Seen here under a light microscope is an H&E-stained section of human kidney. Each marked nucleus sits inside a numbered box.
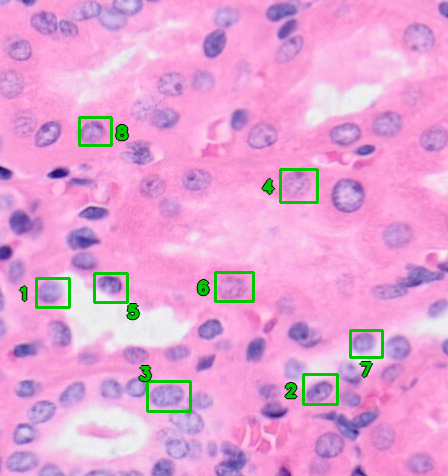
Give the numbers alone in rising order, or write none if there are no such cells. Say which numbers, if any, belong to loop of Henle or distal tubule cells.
1, 2, 5, 7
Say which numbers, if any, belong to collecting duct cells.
3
